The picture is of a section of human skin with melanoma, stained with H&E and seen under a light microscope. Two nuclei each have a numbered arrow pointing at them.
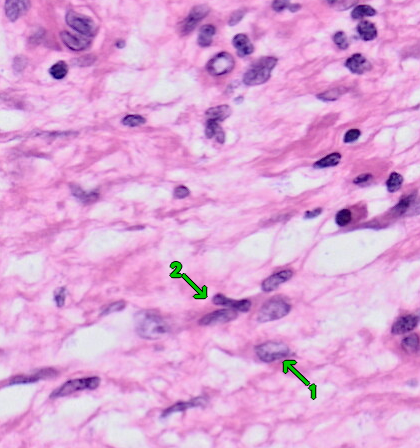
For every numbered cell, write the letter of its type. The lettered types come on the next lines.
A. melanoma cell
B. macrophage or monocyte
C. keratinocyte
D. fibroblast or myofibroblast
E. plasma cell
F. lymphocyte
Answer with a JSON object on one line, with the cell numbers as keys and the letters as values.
{"1": "D", "2": "B"}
